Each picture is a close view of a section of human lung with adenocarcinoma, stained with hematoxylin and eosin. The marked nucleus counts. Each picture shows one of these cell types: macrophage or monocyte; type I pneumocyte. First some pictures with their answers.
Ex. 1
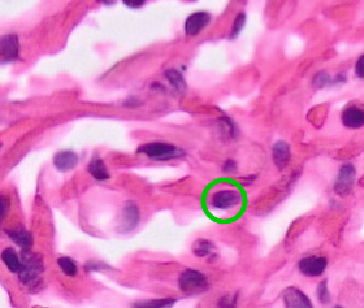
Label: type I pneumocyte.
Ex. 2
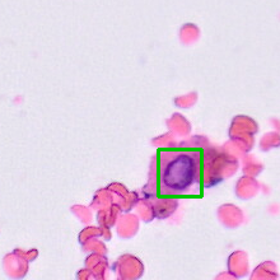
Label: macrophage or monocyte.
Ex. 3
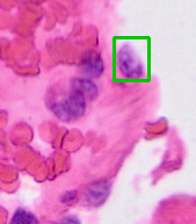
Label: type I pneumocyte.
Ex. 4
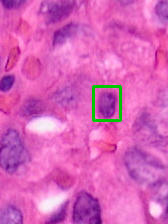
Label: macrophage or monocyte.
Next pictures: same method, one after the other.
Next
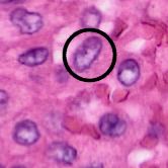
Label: macrophage or monocyte.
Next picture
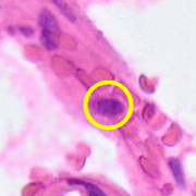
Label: type I pneumocyte.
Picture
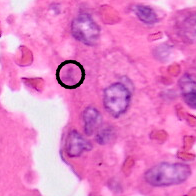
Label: macrophage or monocyte.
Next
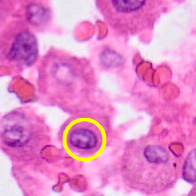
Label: macrophage or monocyte.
